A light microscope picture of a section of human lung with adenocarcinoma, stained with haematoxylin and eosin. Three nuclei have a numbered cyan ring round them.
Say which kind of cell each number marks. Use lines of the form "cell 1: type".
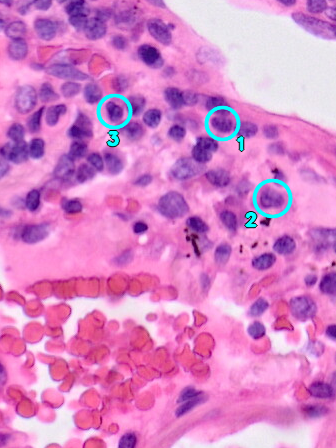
cell 1: lymphocyte
cell 2: plasma cell
cell 3: lymphocyte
